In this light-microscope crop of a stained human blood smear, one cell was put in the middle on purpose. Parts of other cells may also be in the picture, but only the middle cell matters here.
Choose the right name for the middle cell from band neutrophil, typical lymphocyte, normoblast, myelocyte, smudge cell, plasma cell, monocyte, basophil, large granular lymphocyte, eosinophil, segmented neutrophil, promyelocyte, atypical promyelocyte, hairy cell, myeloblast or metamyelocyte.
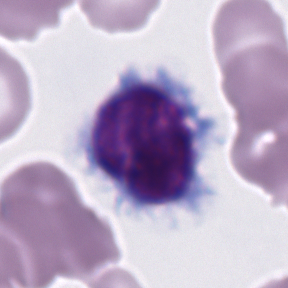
hairy cell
